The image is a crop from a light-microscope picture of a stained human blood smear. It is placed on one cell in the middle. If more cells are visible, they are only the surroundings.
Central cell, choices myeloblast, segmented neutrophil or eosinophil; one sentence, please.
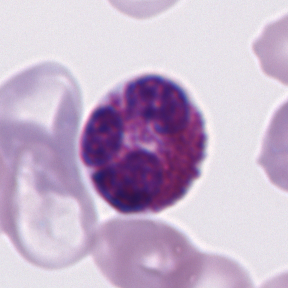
Framed in the middle of the crop is an eosinophil.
